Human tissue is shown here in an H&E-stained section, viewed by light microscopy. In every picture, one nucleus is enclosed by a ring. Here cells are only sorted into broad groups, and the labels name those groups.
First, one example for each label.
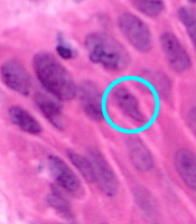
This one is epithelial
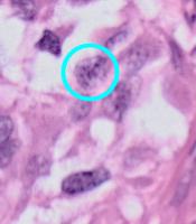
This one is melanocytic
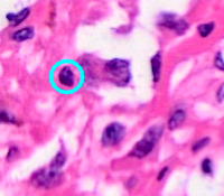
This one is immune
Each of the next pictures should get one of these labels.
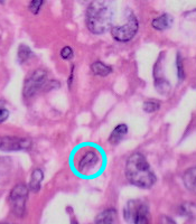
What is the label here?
immune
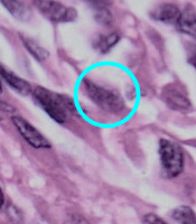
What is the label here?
melanocytic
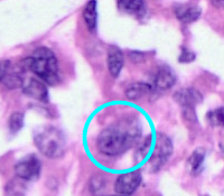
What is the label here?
melanocytic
